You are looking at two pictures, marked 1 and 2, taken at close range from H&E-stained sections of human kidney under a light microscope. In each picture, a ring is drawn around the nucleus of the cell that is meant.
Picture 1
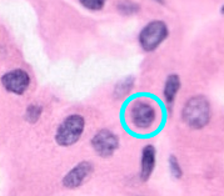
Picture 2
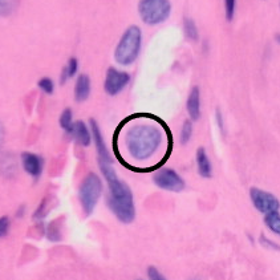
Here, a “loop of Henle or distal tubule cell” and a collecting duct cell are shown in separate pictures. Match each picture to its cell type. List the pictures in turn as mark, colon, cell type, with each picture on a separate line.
1: loop of Henle or distal tubule cell
2: collecting duct cell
